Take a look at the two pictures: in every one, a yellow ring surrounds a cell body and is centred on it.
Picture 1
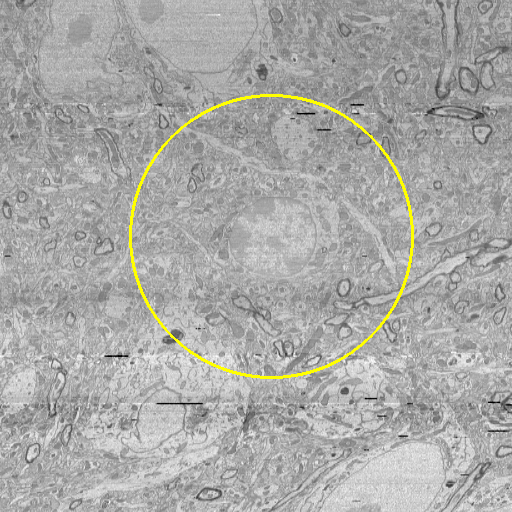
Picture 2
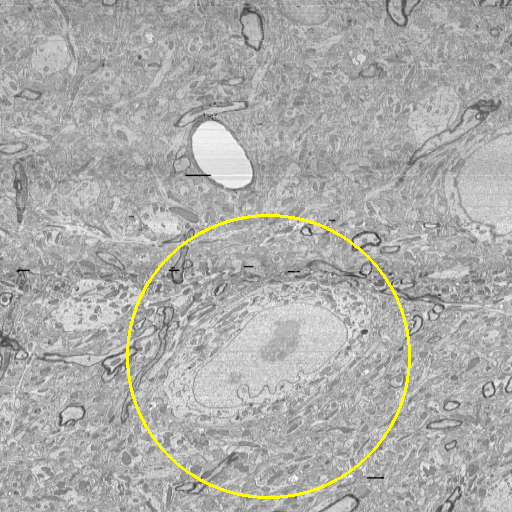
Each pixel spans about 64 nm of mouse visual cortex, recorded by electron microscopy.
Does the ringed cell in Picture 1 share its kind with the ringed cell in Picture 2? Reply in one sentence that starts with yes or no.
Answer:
No, the two centred cells, one per picture, are of two kinds.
